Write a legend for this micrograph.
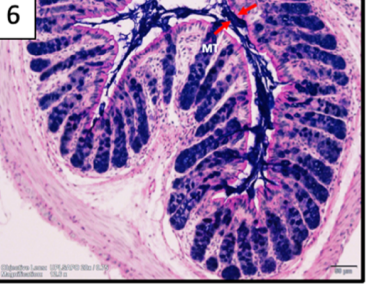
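This colonic mucosa shows folded layers of parallel crypts whose epithelium is crowded with rounded goblet cells filled with dark blue-purple mucin. A dense dark blue mucus layer covers the surface and extends into the clefts of the lumen, and a pink muscular wall surrounds the mucosa.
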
